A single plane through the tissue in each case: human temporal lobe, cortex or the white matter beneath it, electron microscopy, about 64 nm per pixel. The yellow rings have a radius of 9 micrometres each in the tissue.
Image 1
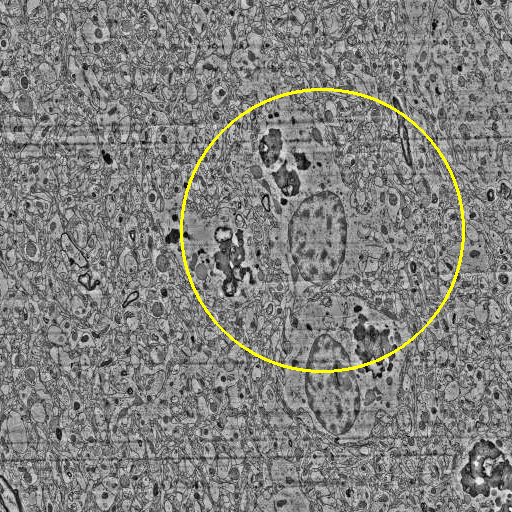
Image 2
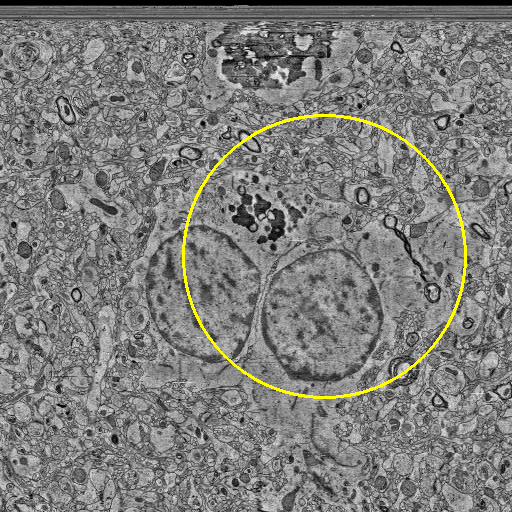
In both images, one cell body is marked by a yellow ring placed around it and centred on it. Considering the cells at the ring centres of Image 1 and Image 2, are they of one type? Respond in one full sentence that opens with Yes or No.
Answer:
Yes, a single type applies to the ring-centred cells of both Image 1 and Image 2.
